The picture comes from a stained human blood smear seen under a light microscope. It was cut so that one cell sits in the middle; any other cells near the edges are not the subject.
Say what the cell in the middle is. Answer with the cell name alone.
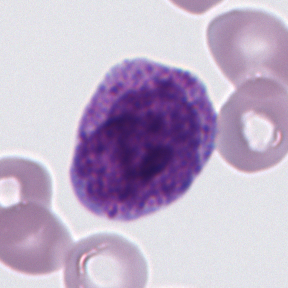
atypical promyelocyte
